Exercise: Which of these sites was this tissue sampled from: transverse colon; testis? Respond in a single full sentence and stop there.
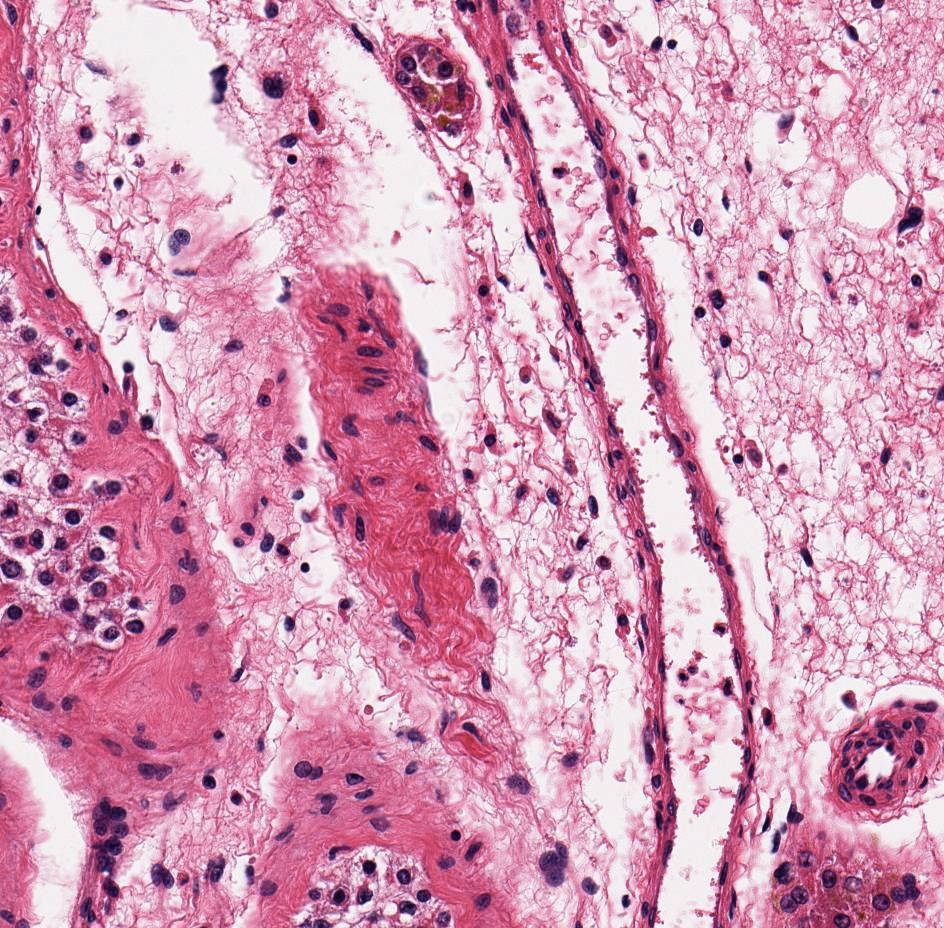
This tissue was sampled from the testis.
